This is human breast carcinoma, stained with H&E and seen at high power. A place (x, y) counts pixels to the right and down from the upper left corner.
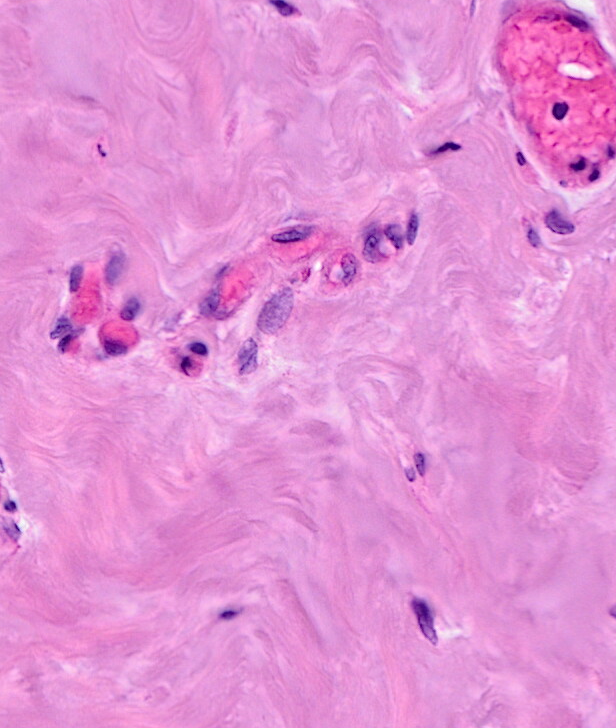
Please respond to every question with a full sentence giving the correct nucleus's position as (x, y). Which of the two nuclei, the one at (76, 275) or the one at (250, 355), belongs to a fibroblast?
The nucleus at (250, 355) is contained in a fibroblast.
